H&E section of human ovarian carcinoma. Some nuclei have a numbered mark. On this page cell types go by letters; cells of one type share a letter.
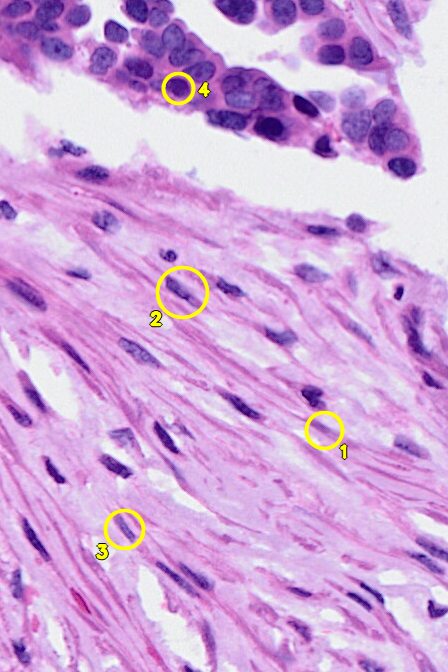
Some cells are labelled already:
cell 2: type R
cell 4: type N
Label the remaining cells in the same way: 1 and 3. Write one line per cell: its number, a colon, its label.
1: type R
3: type R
